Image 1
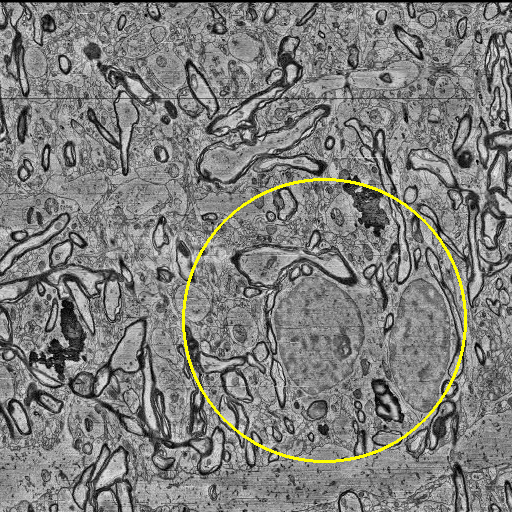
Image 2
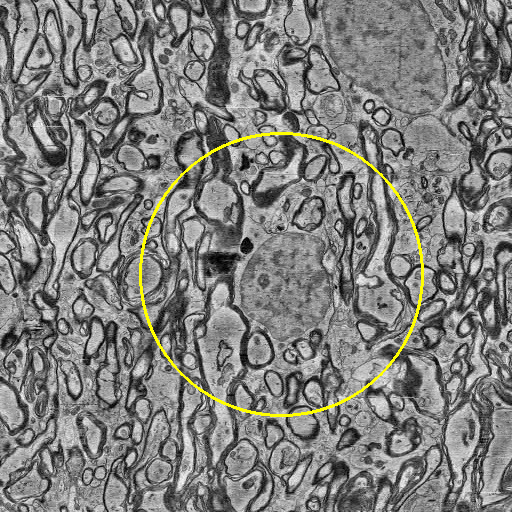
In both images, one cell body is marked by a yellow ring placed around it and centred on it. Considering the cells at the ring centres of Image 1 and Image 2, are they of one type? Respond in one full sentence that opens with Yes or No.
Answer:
Yes, a single type applies to the ring-centred cells of both Image 1 and Image 2.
